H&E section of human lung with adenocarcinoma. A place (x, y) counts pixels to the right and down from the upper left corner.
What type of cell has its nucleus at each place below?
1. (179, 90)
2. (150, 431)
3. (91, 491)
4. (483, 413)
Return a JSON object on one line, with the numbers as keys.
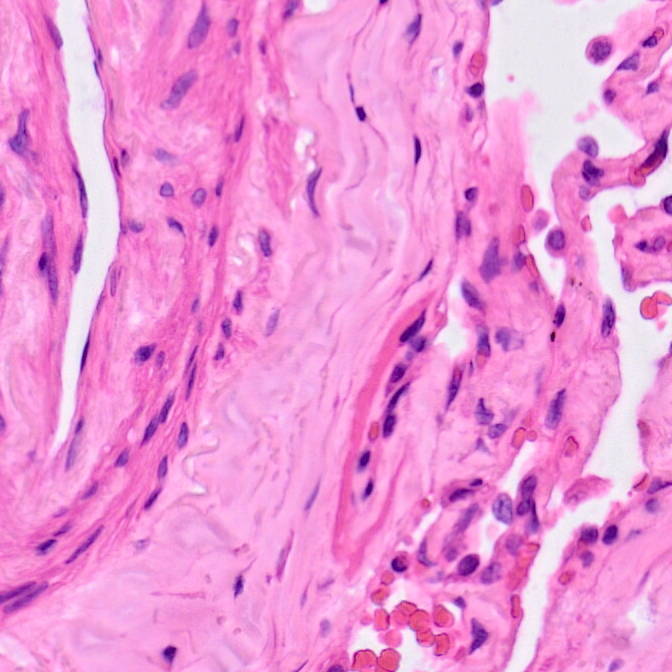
{"1": "smooth muscle cell or pericyte", "2": "smooth muscle cell or pericyte", "3": "smooth muscle cell or pericyte", "4": "fibroblast"}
